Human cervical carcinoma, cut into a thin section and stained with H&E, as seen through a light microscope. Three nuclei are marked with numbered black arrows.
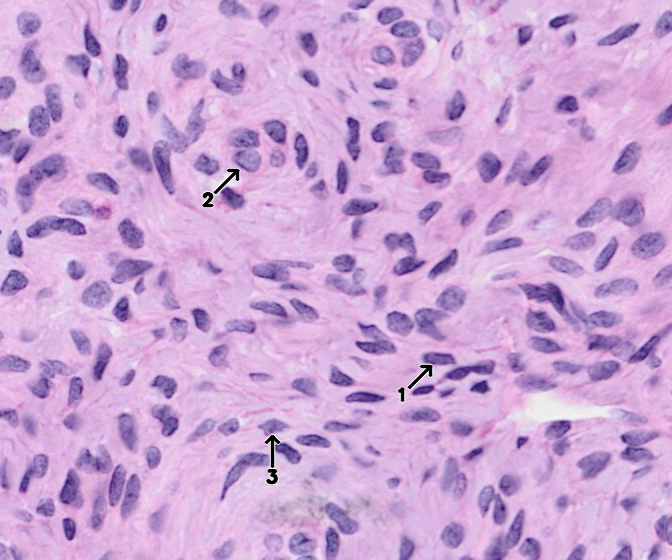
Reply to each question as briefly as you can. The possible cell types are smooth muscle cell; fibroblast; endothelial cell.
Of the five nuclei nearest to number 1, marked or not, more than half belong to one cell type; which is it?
fibroblast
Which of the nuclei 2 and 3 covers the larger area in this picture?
2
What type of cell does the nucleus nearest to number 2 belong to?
endothelial cell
